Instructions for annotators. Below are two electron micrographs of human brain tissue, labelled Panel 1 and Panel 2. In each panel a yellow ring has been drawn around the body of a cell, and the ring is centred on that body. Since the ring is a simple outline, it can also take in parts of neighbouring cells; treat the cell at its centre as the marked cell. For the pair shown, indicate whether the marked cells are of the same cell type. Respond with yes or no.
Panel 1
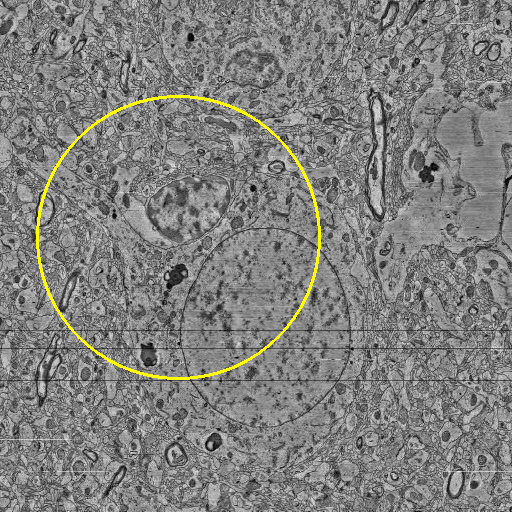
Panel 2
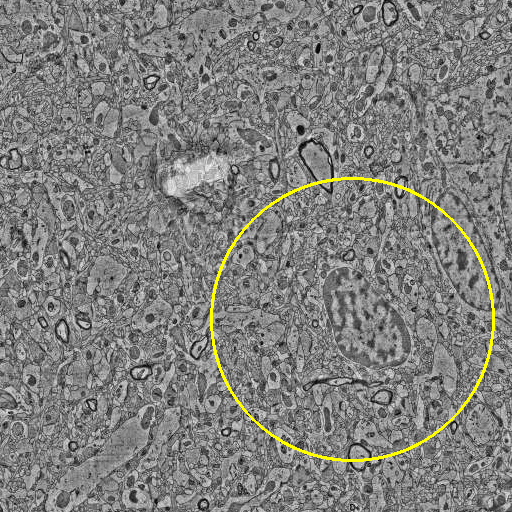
yes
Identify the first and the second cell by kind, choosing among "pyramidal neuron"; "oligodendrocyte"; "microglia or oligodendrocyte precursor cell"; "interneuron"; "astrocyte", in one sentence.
The cell at the ring centre is a microglial cell or oligodendrocyte precursor cell in both pictures.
